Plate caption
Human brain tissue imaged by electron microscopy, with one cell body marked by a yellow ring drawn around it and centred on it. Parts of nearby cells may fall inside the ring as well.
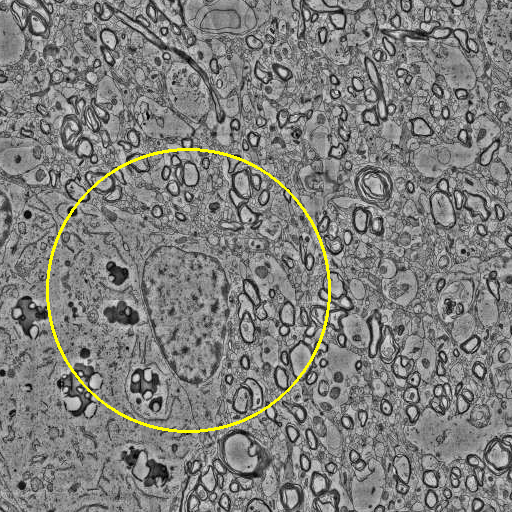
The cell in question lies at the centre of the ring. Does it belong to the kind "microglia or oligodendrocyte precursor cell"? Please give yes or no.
Yes, it belongs to that kind.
